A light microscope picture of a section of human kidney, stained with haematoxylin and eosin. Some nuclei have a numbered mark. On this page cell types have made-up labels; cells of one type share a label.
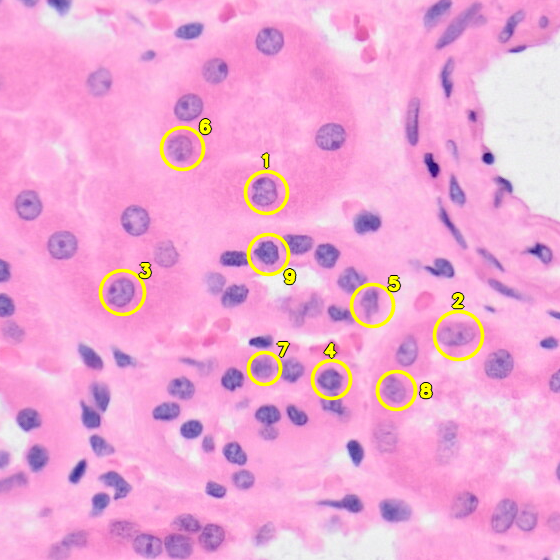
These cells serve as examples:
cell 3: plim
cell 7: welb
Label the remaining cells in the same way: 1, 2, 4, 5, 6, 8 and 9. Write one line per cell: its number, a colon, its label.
1: plim
2: plim
4: welb
5: welb
6: plim
8: plim
9: welb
